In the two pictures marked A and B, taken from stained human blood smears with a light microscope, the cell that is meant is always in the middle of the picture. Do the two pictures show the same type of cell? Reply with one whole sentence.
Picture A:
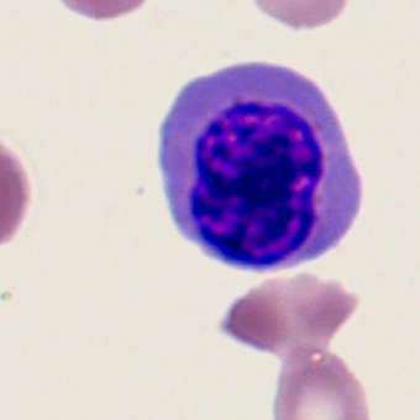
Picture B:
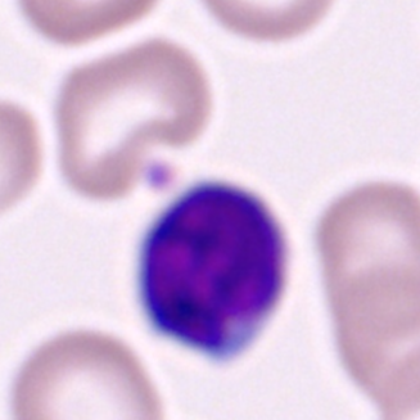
No, the types are not the same, since picture A shows an erythroblast and picture B a lymphocyte.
